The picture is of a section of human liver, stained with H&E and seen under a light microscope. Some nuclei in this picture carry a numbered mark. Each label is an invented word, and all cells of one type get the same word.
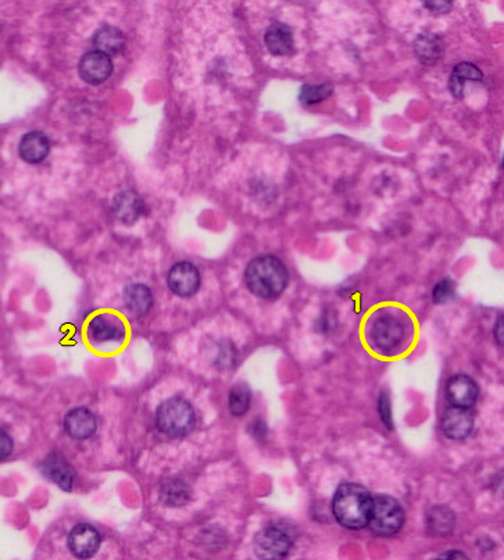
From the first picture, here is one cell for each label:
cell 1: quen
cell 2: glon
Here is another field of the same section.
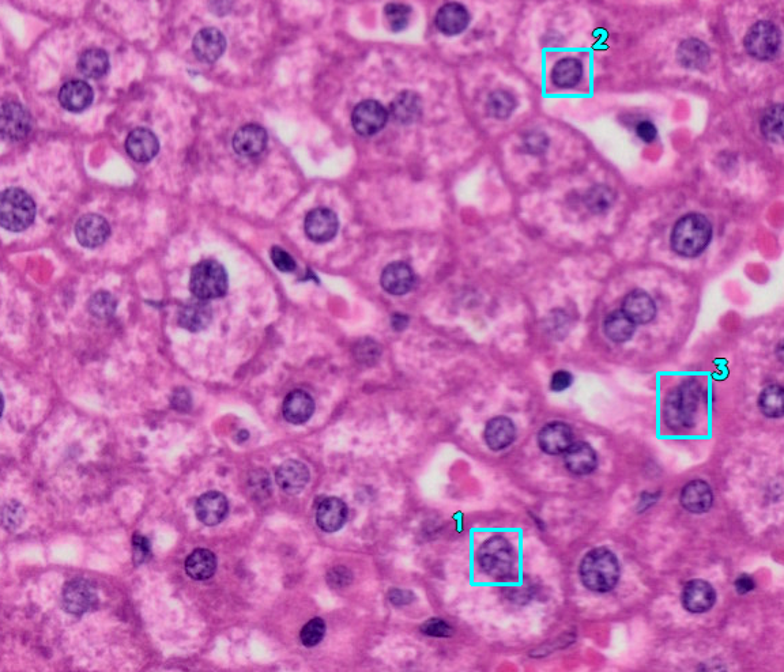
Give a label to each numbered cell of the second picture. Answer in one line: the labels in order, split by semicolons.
quen; quen; glon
